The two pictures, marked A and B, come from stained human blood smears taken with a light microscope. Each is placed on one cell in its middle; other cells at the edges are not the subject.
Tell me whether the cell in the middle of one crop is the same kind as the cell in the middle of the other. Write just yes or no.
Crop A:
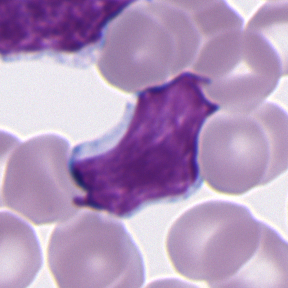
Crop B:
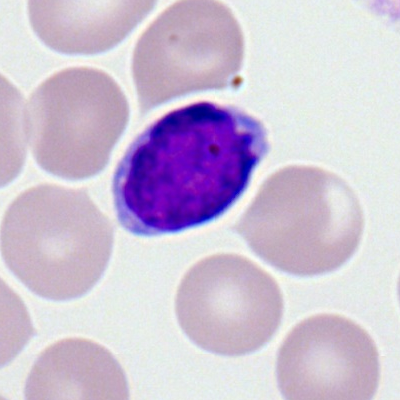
yes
